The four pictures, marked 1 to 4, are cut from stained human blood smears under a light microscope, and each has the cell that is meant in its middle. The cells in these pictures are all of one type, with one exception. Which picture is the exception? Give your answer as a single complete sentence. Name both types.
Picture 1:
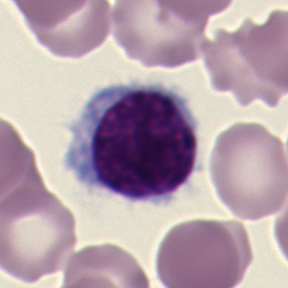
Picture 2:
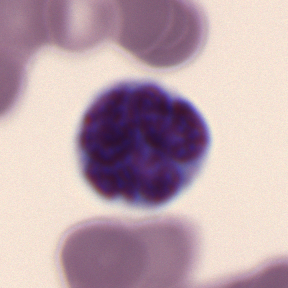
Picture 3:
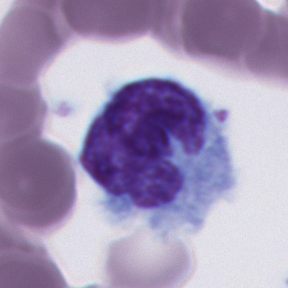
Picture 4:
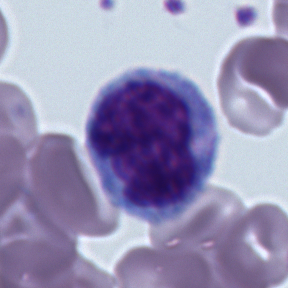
Unlike the rest, which show monocytes, picture 1 shows a hairy cell.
